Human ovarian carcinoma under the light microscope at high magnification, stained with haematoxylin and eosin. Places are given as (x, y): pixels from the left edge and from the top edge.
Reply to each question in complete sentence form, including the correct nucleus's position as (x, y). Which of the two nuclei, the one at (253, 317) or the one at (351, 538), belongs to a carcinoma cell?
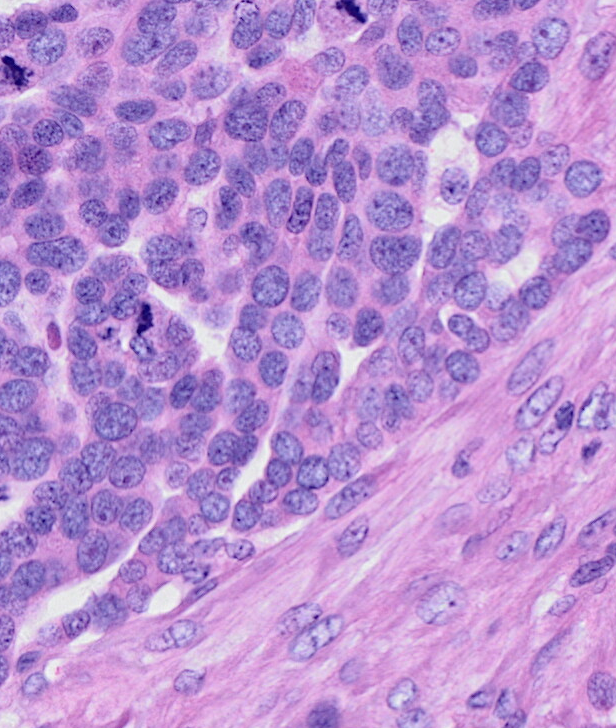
The nucleus at (253, 317) is the one that belongs to a carcinoma cell.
